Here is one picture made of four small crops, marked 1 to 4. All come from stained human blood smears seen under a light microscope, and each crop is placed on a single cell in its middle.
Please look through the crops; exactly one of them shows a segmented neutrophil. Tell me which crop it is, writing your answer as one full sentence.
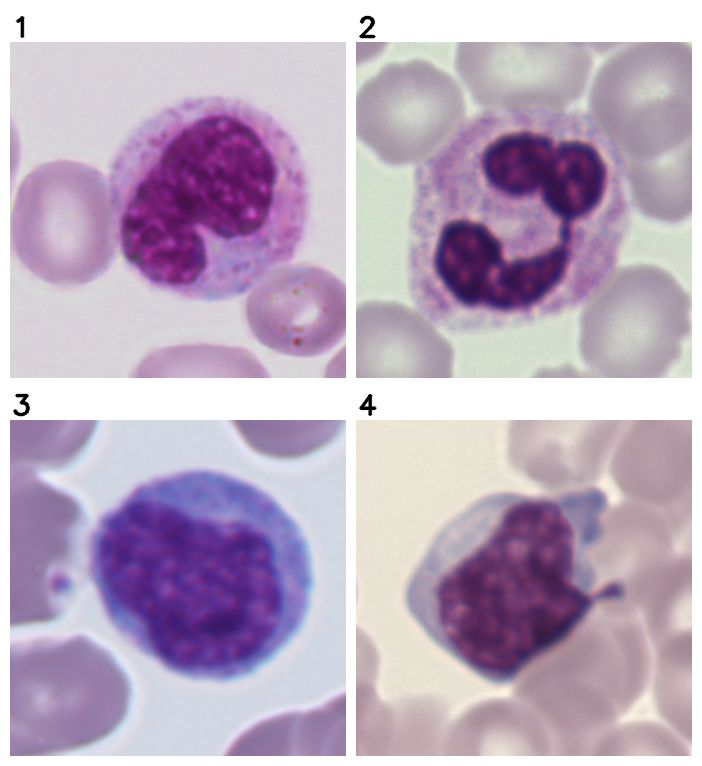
In this series, a segmented neutrophil is shown by crop 2.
